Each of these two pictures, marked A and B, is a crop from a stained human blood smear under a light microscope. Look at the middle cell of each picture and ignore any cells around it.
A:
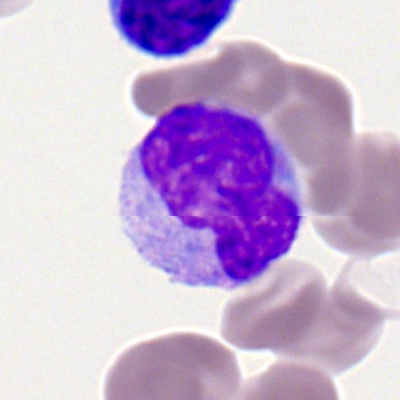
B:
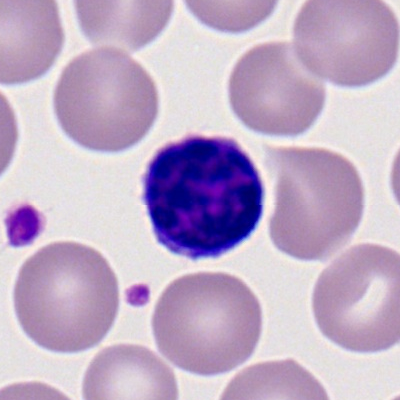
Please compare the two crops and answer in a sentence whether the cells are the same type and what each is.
No, the cell shown in crop A is a monocyte, and the cell shown in crop B is a lymphocyte.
